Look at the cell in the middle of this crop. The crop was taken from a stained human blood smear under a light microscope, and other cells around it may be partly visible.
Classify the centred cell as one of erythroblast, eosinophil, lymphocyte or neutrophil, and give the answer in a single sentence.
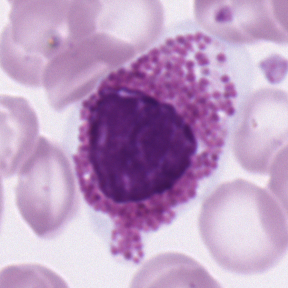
The centrally placed cell is classified as an eosinophil.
